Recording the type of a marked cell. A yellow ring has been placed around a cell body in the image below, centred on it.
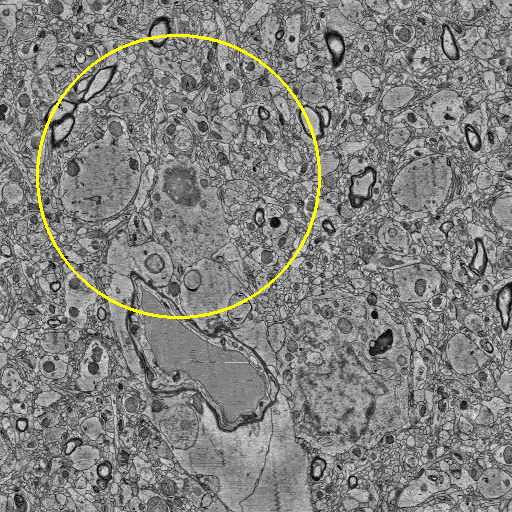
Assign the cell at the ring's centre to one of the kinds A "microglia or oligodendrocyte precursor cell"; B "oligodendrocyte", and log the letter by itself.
B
